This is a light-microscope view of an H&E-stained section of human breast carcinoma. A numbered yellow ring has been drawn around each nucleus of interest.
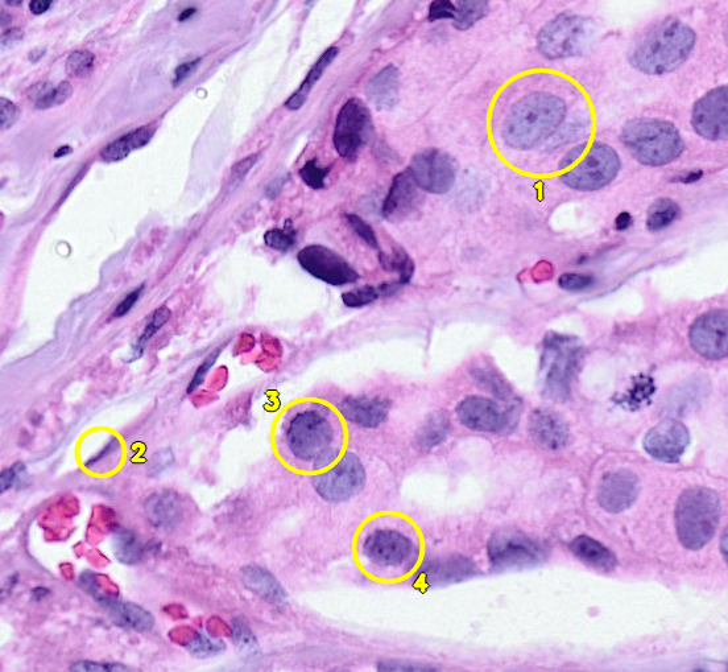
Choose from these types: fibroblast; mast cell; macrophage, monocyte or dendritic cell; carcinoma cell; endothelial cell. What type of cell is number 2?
fibroblast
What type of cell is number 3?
carcinoma cell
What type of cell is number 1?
carcinoma cell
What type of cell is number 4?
carcinoma cell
